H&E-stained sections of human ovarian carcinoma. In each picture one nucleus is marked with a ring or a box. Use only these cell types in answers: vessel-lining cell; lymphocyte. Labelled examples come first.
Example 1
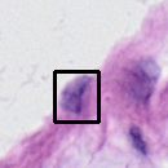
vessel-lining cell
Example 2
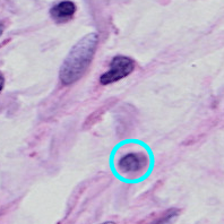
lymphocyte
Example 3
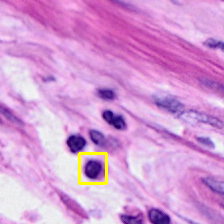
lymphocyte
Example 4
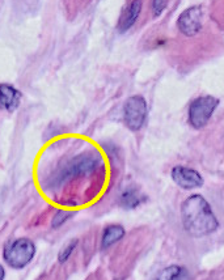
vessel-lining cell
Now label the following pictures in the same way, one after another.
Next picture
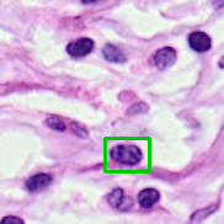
lymphocyte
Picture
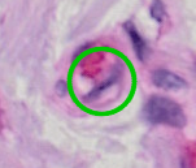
vessel-lining cell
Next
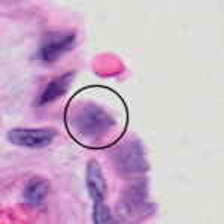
vessel-lining cell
